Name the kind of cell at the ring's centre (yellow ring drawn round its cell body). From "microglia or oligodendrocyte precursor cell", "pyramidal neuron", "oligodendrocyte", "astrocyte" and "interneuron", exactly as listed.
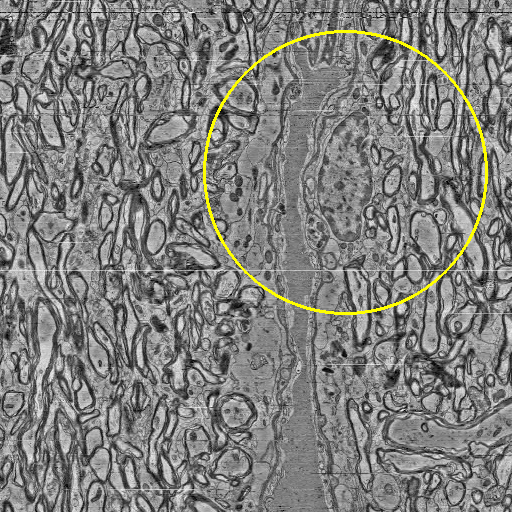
microglia or oligodendrocyte precursor cell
